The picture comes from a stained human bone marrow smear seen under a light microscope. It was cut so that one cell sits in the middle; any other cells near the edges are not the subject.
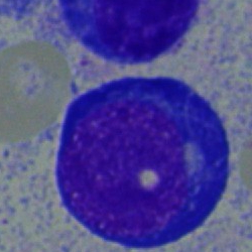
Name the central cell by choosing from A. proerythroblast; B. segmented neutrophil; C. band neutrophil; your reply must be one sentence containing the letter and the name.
For this crop, option A is right, the centered cell being a proerythroblast.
